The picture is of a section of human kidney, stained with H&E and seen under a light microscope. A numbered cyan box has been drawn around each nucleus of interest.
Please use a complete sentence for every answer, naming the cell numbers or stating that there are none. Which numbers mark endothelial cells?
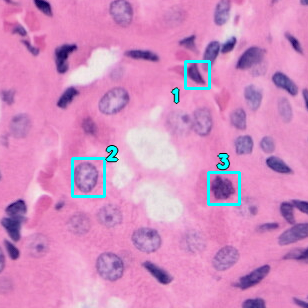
Cell 1 represents an endothelial cell, and no other numbered cell does.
